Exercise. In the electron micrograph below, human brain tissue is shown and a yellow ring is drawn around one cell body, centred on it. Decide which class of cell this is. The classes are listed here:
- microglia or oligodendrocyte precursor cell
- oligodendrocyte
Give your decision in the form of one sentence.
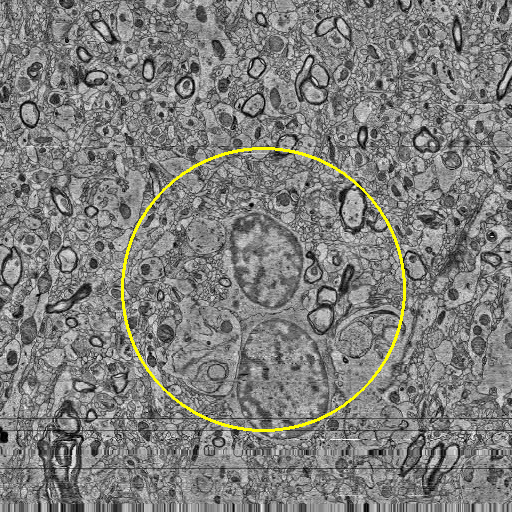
The cell body marked by the ring belongs to an oligodendrocyte.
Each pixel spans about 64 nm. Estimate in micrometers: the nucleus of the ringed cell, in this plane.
Approximately 6 by 4 micrometers in this plane.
